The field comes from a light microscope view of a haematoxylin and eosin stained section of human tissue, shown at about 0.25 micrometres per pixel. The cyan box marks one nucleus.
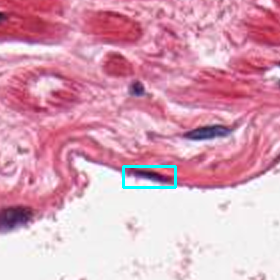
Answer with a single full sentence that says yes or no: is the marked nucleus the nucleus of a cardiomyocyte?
No, the marked nucleus is not borne by a cardiomyocyte; it is borne by a supporting cell.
